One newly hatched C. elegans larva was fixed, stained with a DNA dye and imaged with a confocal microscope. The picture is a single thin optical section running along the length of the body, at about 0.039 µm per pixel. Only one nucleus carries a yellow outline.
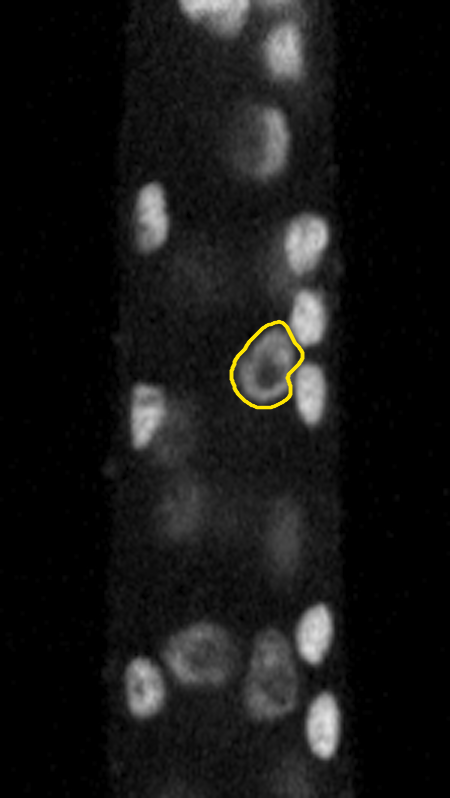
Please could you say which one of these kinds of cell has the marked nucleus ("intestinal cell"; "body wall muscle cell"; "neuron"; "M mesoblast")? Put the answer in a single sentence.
What is marked is the nucleus of an intestinal cell.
